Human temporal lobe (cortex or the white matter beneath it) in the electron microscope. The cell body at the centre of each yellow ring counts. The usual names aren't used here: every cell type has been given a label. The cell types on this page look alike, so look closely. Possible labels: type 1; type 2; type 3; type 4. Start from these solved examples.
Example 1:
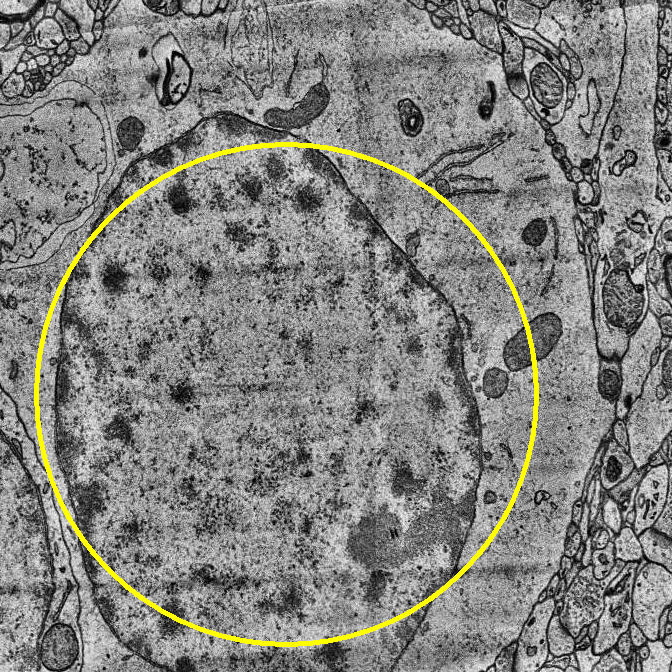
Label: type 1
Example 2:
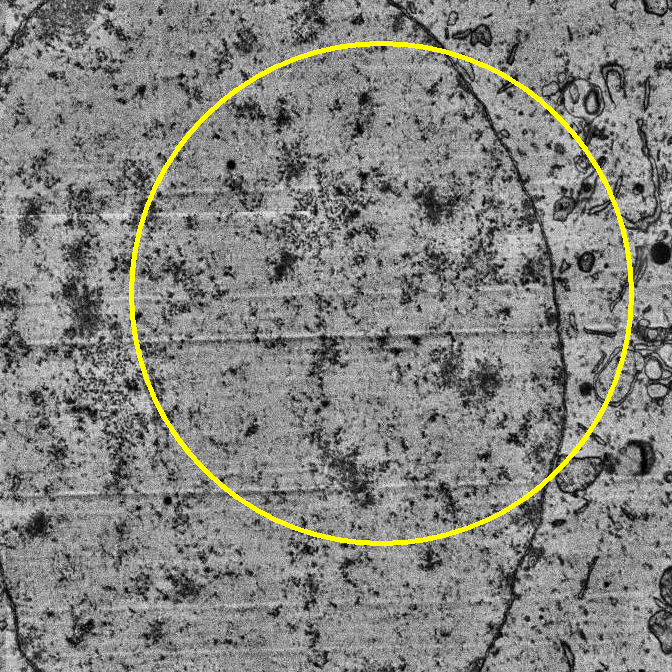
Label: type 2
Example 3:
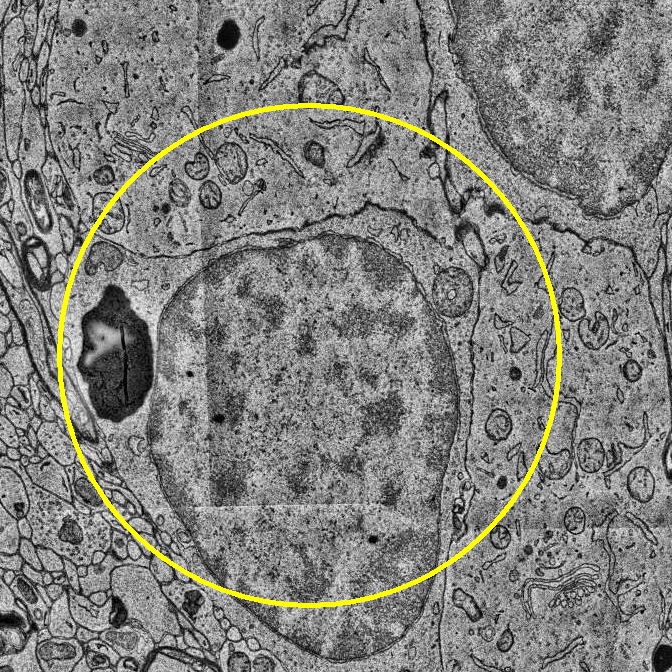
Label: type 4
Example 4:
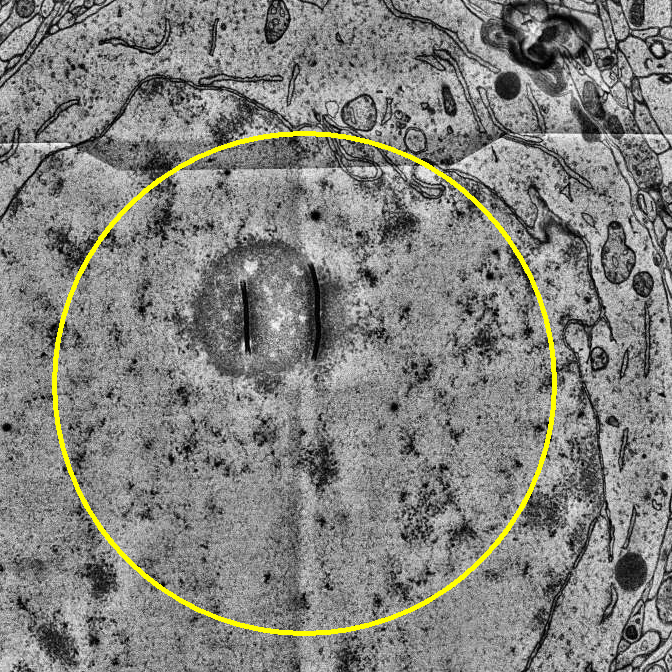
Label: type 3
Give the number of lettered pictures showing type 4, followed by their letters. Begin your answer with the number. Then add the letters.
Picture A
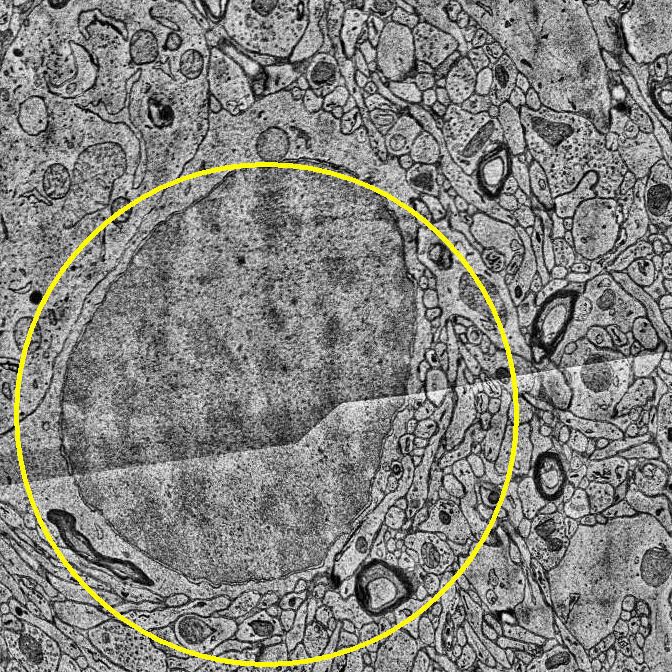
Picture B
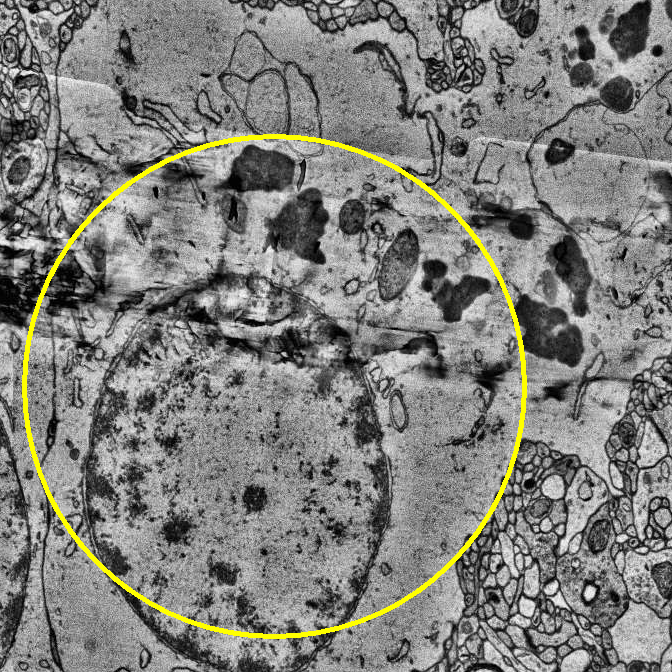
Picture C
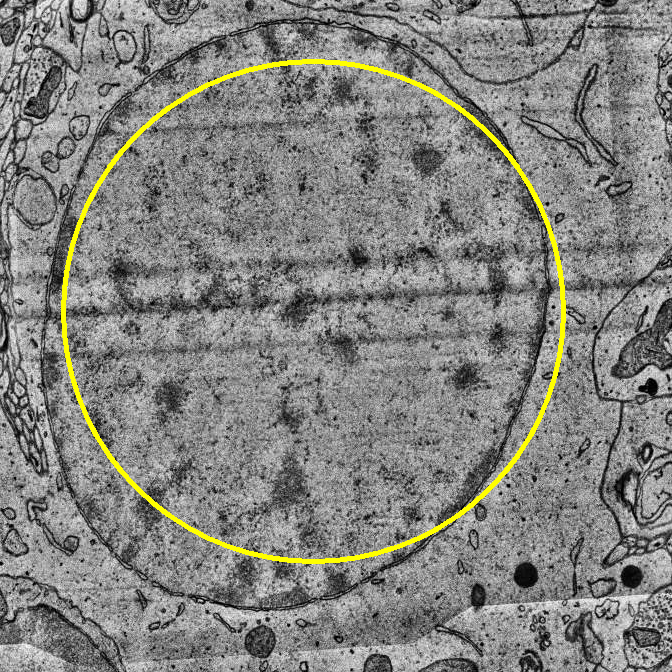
1, namely A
